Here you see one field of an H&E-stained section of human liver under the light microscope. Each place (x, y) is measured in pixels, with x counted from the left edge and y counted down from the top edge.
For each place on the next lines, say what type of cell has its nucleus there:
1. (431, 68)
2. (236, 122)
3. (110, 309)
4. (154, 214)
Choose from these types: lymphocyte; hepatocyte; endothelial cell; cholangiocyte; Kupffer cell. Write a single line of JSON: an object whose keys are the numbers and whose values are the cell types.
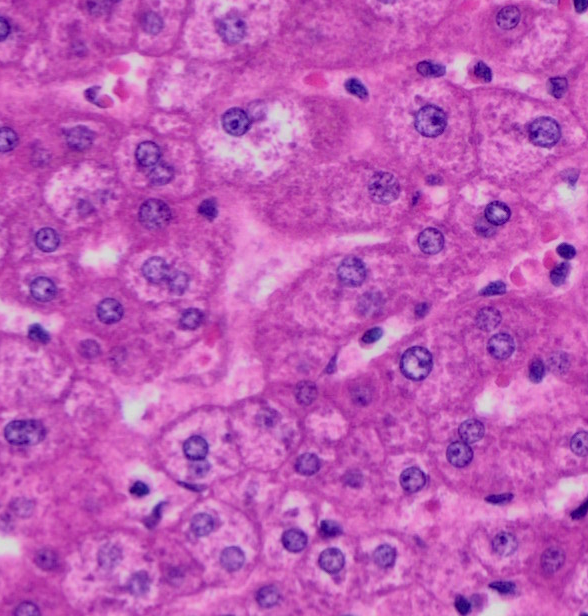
{"1": "endothelial cell", "2": "hepatocyte", "3": "hepatocyte", "4": "hepatocyte"}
